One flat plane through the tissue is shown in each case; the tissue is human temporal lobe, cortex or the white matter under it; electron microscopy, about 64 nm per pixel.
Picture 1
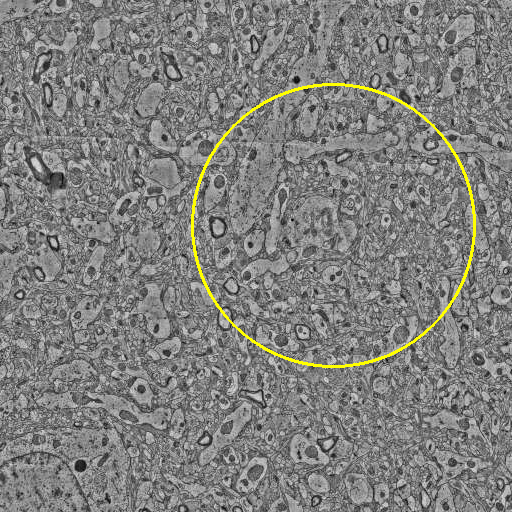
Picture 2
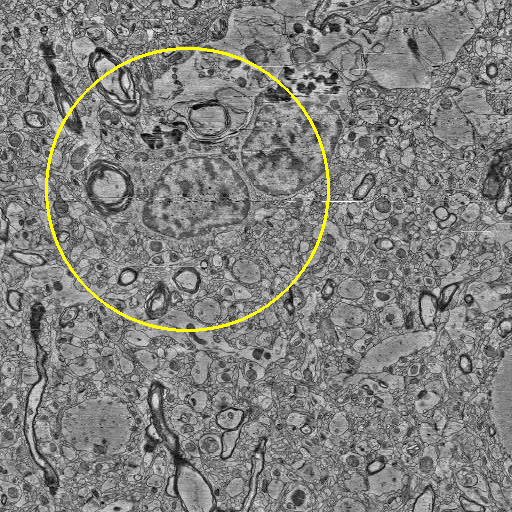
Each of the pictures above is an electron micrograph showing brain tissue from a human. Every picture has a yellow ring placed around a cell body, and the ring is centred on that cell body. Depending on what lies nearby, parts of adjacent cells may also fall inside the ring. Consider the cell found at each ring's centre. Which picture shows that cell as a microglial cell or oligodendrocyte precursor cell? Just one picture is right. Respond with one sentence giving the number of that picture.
The picture showing the wanted cell at the ring's centre is number 1.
